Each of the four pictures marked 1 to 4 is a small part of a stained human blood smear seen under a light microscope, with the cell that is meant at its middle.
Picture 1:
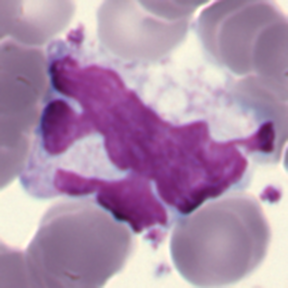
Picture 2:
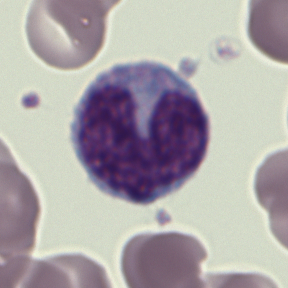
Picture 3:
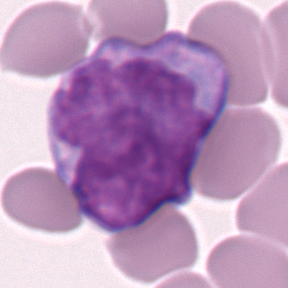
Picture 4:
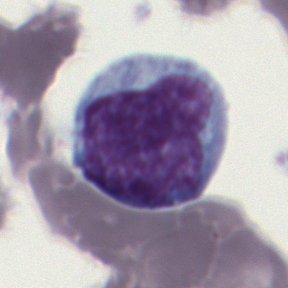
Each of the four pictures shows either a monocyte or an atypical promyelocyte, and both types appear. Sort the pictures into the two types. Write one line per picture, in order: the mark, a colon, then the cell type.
1: monocyte
2: monocyte
3: atypical promyelocyte
4: monocyte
